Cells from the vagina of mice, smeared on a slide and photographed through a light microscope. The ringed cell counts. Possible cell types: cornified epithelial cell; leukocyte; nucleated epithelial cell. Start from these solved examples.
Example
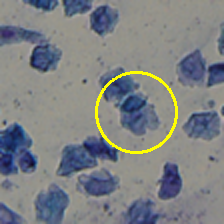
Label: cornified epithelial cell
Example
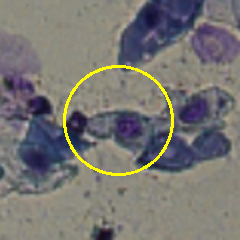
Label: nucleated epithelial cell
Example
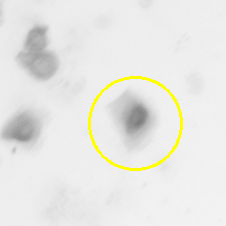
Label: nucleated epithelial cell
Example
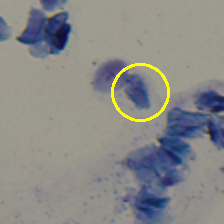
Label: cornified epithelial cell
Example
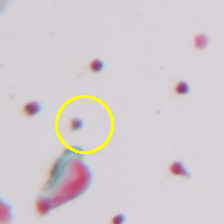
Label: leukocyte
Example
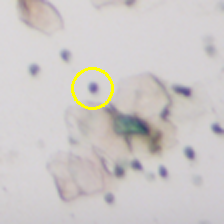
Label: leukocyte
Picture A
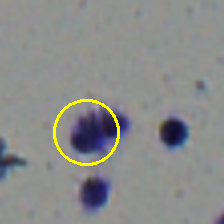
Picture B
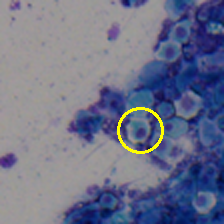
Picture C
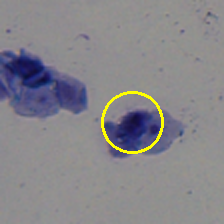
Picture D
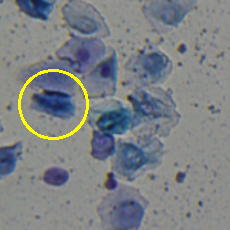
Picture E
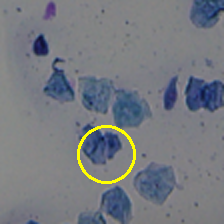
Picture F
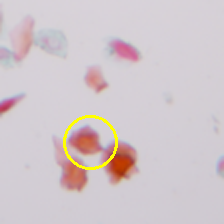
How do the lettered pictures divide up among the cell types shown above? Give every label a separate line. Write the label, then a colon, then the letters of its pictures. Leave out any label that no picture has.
cornified epithelial cell: D, E, F
leukocyte: A
nucleated epithelial cell: B, C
